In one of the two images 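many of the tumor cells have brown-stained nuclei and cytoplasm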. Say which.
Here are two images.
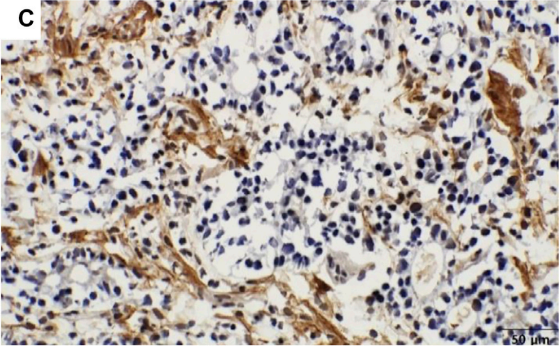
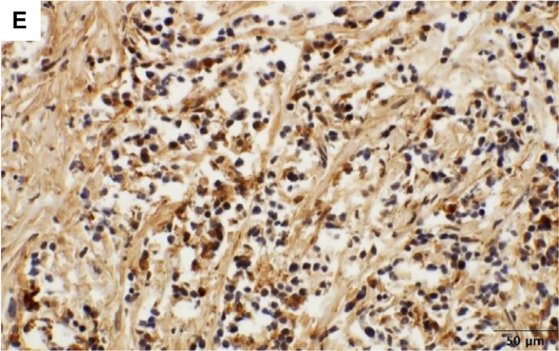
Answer: The second image.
